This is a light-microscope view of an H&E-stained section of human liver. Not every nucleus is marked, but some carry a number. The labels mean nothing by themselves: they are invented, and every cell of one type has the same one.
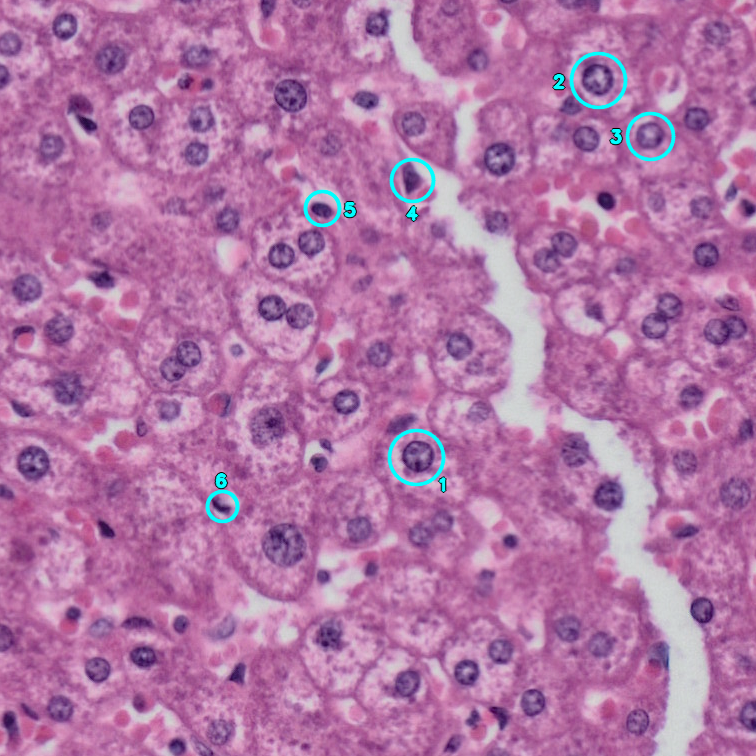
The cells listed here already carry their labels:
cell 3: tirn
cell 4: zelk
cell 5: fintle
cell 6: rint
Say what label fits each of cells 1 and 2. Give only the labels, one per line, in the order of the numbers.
tirn
tirn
